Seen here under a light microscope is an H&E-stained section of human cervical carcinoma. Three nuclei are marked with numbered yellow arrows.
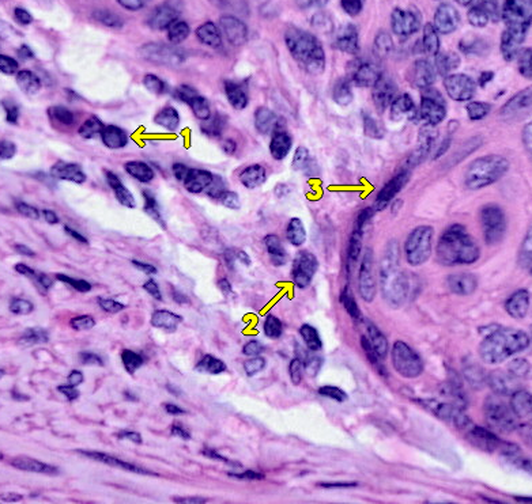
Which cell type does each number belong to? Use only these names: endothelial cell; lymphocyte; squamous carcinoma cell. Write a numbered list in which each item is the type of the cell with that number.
1. lymphocyte
2. lymphocyte
3. squamous carcinoma cell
